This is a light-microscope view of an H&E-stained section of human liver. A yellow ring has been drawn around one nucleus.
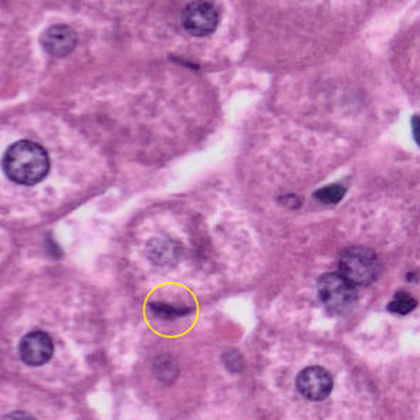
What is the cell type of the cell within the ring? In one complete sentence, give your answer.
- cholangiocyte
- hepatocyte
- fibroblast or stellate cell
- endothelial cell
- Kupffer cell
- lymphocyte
As far as its identity is concerned, the cell within the ring is a fibroblast or stellate cell.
